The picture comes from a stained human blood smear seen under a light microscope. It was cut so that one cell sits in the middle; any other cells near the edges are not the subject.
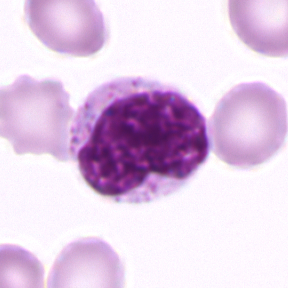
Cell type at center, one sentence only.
Here the centrally located cell is a metamyelocyte.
